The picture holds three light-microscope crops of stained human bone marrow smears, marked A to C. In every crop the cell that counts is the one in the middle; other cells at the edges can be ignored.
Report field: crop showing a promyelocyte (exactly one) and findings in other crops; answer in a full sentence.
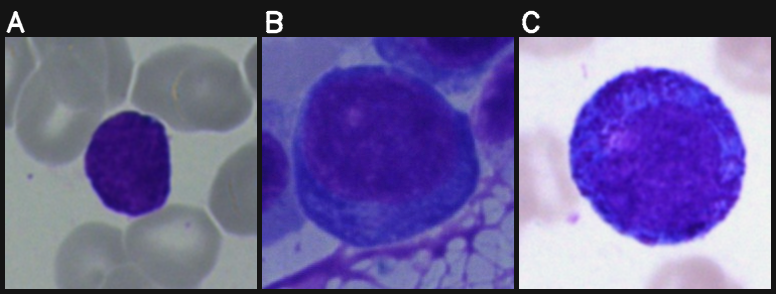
Crop C shows a promyelocyte, and meanwhile crop A is a lymphocyte and crop B is a proerythroblast.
